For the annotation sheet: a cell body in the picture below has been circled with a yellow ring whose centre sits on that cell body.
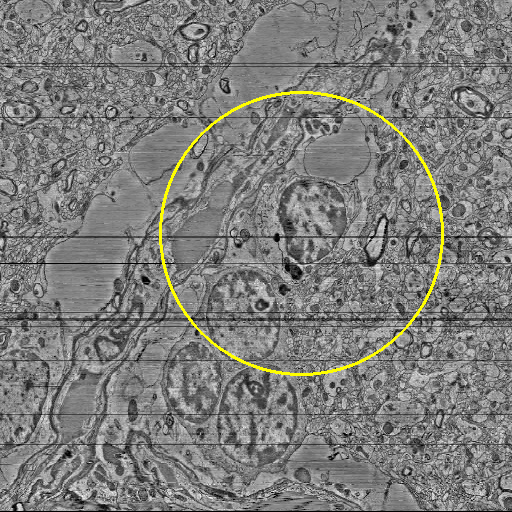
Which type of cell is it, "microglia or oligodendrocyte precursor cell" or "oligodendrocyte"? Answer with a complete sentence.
The circled cell is a microglial cell or oligodendrocyte precursor cell.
